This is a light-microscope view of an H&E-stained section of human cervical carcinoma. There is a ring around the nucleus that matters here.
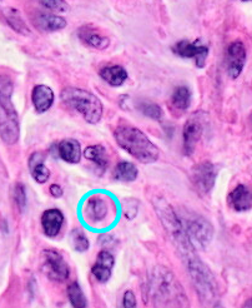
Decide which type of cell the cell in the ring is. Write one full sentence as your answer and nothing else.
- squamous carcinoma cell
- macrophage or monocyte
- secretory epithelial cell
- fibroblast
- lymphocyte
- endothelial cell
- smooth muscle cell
As far as its identity is concerned, the cell in the ring is a lymphocyte.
